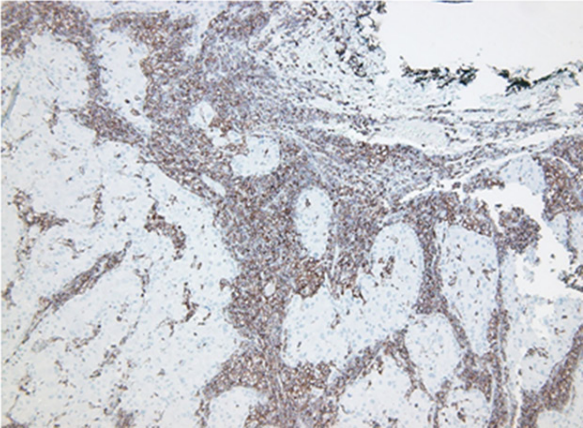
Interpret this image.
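Tumor nests appear as pale, largely unstained islands outlined by bands of densely brown-stained cells. The brown cells crowd the stroma between the nests. Only a few scattered brown cells lie inside the nests.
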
